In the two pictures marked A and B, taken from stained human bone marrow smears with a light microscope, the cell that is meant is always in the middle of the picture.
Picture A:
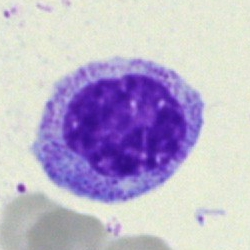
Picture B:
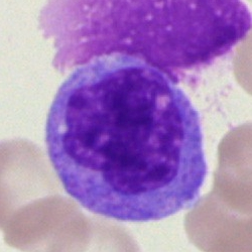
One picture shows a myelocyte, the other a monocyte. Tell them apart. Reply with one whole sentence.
Picture B shows a monocyte, while picture A shows a myelocyte.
